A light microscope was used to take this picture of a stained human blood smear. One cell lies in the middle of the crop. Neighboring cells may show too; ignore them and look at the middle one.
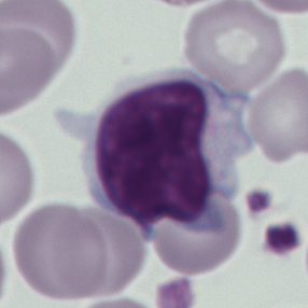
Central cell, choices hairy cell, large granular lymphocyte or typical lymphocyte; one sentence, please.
Where the crop is centred, there is a typical lymphocyte.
